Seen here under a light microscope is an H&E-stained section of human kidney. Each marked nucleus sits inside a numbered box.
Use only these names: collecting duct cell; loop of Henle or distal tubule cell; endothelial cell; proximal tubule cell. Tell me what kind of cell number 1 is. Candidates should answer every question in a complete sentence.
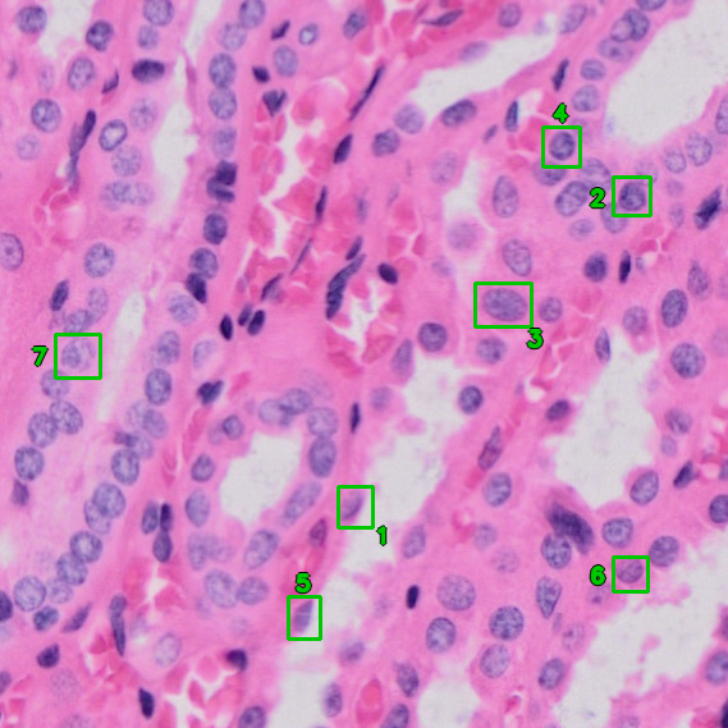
It is as a loop of Henle or distal tubule cell that the cell numbered 1 is identified.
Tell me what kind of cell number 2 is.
Number 2 among the marked cells is a collecting duct cell.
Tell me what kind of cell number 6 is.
Belonging to a loop of Henle or distal tubule cell is the nucleus that carries the number 6.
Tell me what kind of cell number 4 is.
The cell tagged with 4 in this tissue section is a collecting duct cell.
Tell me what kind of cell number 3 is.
The numbered cell 3 in this field is a loop of Henle or distal tubule cell.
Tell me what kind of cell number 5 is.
The cell given label 5 is a loop of Henle or distal tubule cell.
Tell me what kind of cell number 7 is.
Identified by the number 7, the cell is a collecting duct cell.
